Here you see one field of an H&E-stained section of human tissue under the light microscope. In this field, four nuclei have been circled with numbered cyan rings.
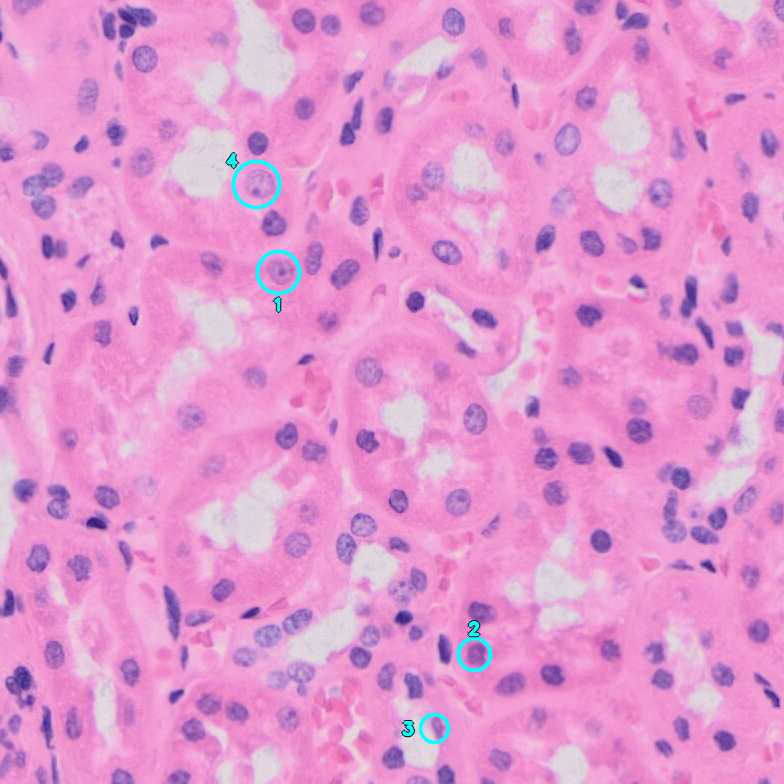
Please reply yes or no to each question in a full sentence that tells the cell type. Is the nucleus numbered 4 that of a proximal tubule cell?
Yes, the numbered cell 4 is identified as a proximal tubule cell.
